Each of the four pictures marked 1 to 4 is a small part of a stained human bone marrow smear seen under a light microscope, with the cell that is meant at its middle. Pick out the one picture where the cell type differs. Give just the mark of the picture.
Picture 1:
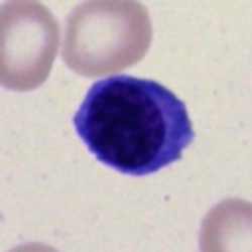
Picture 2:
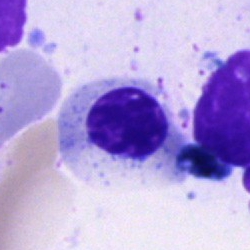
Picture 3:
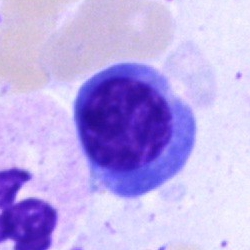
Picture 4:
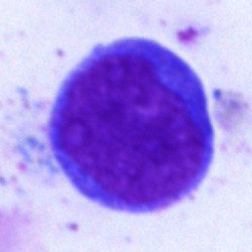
4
